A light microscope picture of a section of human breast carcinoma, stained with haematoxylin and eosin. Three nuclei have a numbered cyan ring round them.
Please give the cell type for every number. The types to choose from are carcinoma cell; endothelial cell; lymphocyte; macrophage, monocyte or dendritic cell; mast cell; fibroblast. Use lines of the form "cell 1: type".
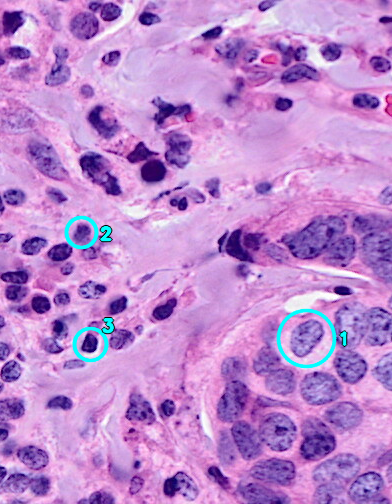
cell 1: carcinoma cell
cell 2: lymphocyte
cell 3: lymphocyte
